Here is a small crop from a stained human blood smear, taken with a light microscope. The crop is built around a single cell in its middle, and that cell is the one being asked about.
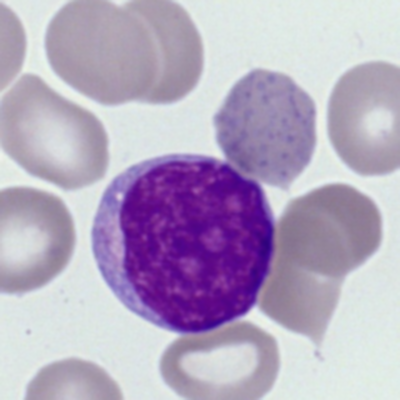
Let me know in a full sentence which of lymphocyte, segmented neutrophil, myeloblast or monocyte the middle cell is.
At the crop's centre, the cell is a myeloblast.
